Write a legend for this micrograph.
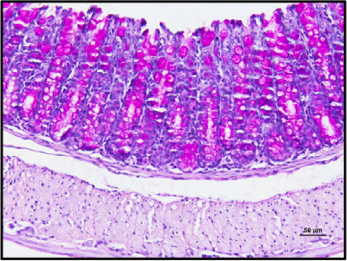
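This is a section through the colon wall, with the mucosa of colonic crypts on top and the muscle coat below. The crypts are straight tubes standing side by side, each lined by a single row of columnar cells. Many of these lining cells are swollen by rounded cytoplasmic droplets that stain bright magenta, packed densely along the length of each crypt. Their nuclei are small, dark purple and pushed toward the base of the cells. Between the crypts runs a thin strip of connective tissue with scattered nuclei, and beneath the mucosa a pale, loose band separates it from the pink, fibrous muscle layer.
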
